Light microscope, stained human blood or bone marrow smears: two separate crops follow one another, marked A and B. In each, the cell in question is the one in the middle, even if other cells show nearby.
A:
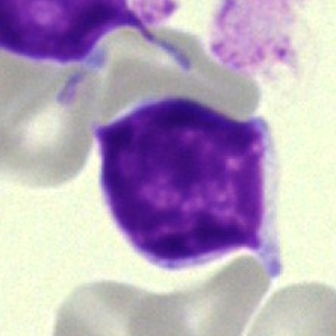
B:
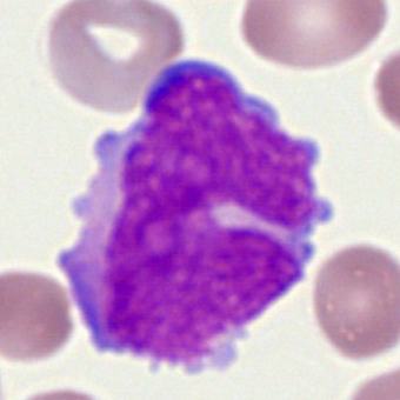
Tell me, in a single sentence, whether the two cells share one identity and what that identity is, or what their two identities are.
No, a lymphocyte and a monocyte are found in crop A and crop B, respectively.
